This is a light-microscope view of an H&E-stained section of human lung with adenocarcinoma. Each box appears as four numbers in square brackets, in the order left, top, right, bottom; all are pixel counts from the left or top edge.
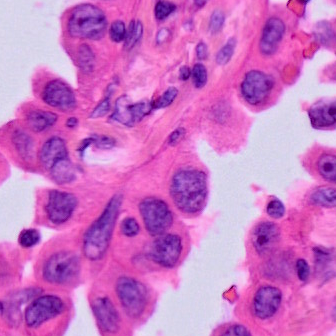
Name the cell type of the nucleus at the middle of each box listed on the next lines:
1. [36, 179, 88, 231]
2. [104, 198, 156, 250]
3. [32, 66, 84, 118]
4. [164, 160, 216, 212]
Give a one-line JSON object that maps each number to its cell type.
{"1": "carcinoma cell", "2": "lymphocyte", "3": "carcinoma cell", "4": "carcinoma cell"}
